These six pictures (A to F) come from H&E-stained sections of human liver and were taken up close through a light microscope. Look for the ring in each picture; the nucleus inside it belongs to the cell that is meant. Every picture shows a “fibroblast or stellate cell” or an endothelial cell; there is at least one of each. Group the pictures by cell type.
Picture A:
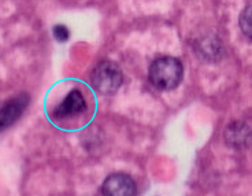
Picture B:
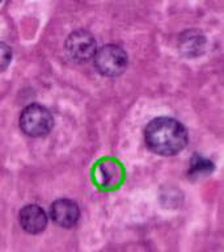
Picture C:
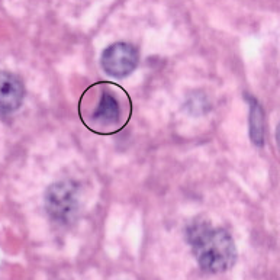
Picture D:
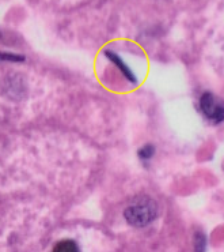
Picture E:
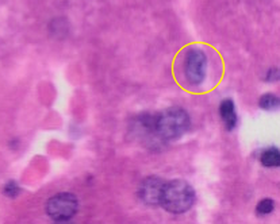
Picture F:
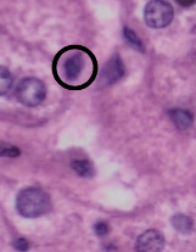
A: fibroblast or stellate cell
B: endothelial cell
C: fibroblast or stellate cell
D: endothelial cell
E: fibroblast or stellate cell
F: fibroblast or stellate cell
